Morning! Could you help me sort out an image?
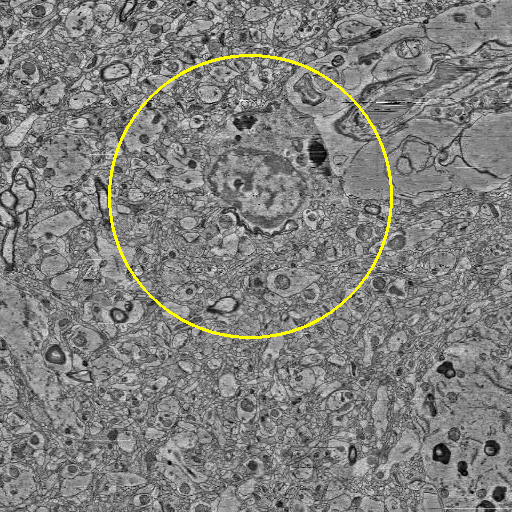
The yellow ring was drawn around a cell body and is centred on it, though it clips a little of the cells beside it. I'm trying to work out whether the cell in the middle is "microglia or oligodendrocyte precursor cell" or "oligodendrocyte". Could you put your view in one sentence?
The ringed cell body is that of an oligodendrocyte.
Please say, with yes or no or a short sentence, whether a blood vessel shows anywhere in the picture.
Yes, one shows.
